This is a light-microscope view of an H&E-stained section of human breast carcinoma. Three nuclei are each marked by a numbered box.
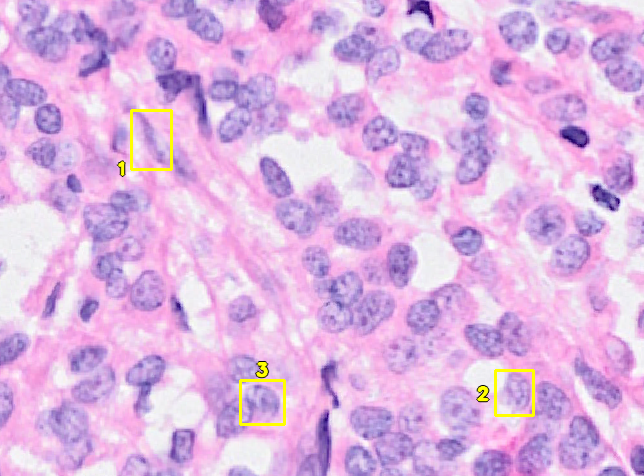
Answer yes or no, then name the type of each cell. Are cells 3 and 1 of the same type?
No, that does not hold; cell 3 is a carcinoma cell and cell 1 is an endothelial cell.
